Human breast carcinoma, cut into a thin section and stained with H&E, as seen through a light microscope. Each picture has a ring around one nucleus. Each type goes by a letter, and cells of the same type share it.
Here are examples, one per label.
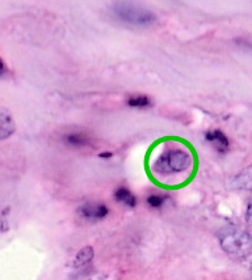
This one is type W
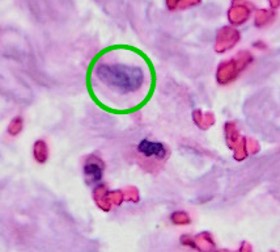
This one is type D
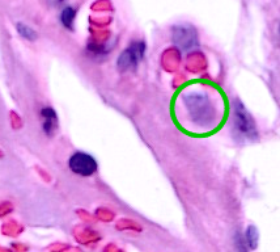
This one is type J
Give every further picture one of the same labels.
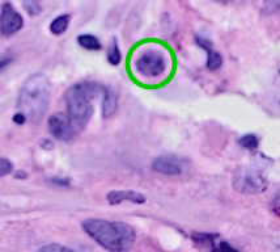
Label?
type W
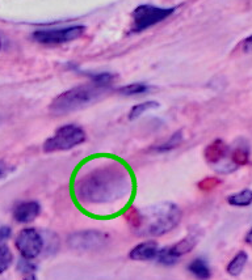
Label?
type J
